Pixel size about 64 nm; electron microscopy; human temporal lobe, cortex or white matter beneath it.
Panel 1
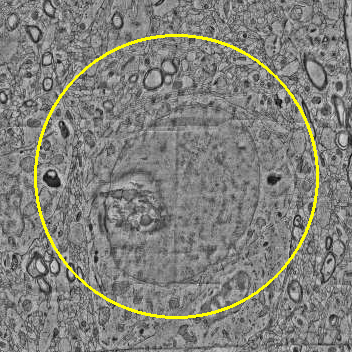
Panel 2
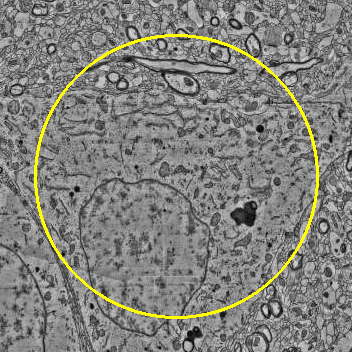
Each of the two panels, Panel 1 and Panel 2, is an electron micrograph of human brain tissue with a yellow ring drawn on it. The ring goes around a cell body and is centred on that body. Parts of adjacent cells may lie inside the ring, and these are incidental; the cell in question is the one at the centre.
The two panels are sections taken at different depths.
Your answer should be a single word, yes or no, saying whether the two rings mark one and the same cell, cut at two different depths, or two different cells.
no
